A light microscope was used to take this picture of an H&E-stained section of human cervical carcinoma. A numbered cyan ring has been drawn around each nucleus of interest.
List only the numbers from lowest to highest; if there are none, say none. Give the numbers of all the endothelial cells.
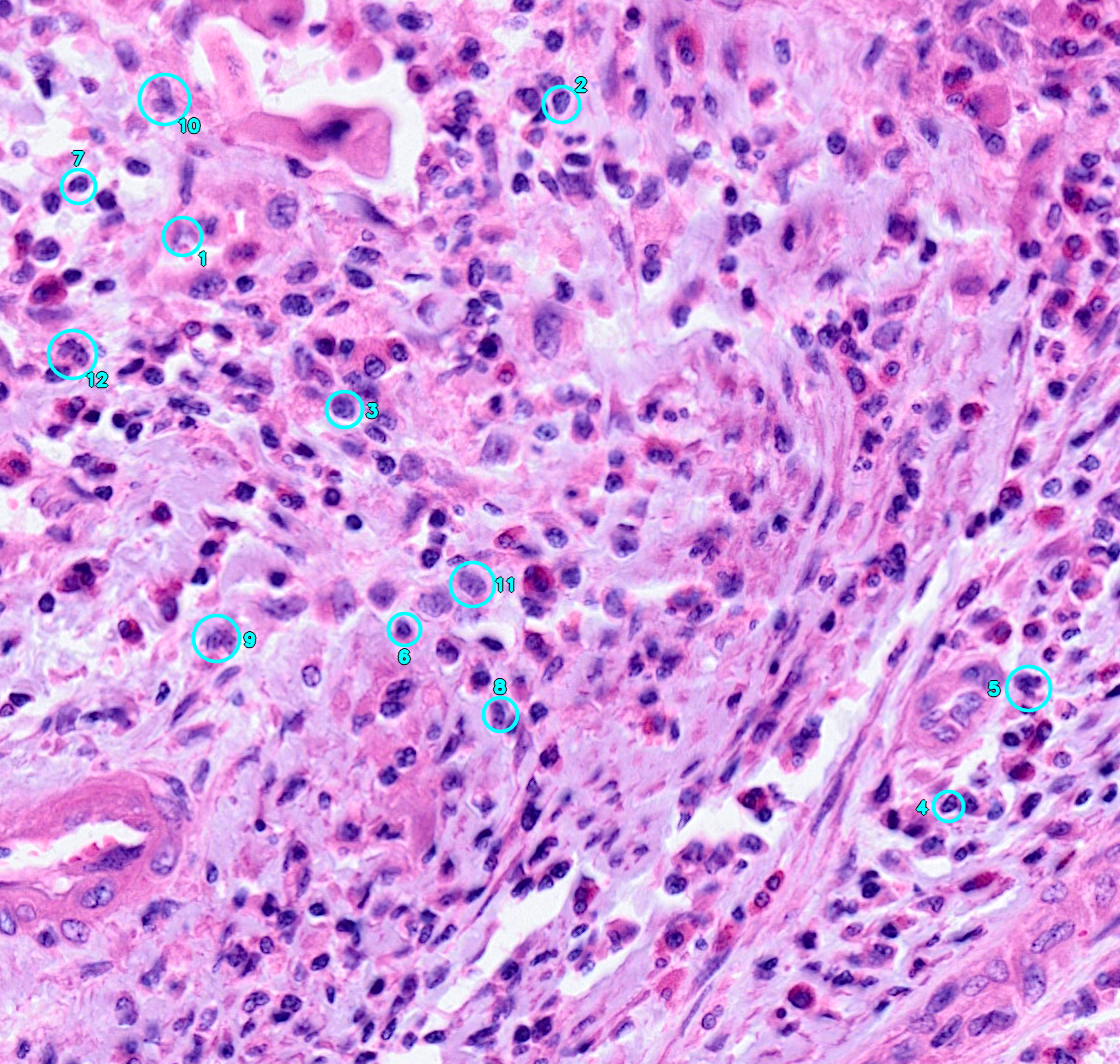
1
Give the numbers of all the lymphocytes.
2, 3, 4, 5, 6, 7, 8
